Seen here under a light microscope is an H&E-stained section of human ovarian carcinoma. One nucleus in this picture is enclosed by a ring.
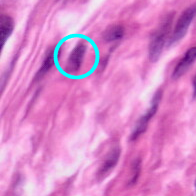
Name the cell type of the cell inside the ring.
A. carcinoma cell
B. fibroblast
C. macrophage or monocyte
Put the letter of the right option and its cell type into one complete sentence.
Option B is right in classifying the cell inside the ring as a fibroblast.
